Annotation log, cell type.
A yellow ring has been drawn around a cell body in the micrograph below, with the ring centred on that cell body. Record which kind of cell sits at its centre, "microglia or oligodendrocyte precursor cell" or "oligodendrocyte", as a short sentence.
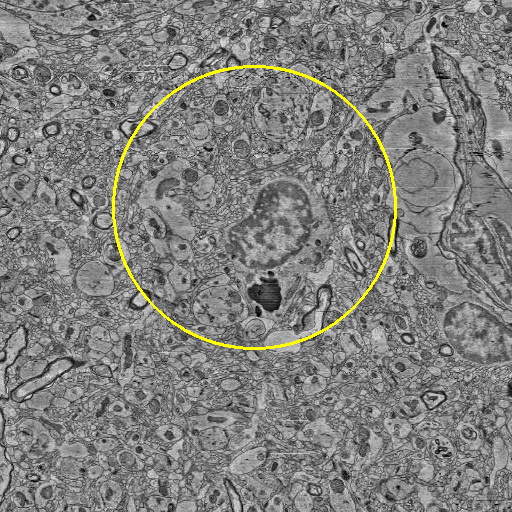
The cell at the centre of this ring is an oligodendrocyte.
